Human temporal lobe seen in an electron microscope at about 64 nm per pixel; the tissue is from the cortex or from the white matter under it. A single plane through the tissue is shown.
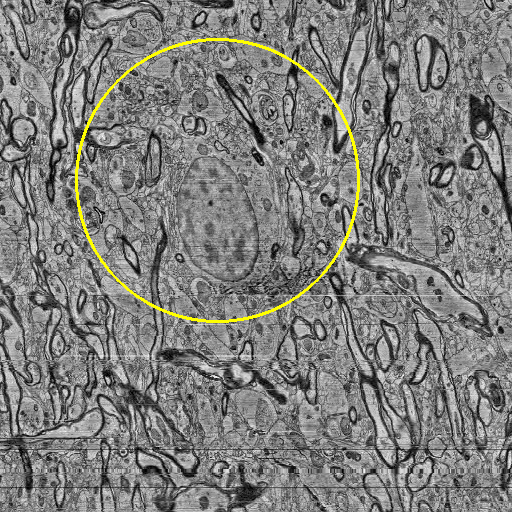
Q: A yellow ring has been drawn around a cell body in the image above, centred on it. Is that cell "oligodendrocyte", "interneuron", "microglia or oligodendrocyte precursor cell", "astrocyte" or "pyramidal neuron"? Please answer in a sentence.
The ring surrounds the cell body of an oligodendrocyte.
